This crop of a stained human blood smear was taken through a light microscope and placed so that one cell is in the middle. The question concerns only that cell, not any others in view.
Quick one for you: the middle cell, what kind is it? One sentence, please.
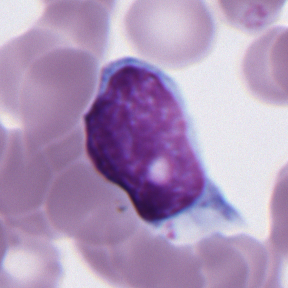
The middle of this crop is occupied by a lymphocyte.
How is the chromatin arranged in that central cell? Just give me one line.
The chromatin shows a fine pattern without coarse clumps.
